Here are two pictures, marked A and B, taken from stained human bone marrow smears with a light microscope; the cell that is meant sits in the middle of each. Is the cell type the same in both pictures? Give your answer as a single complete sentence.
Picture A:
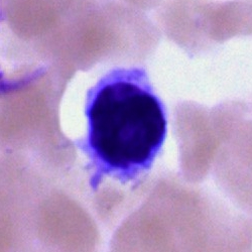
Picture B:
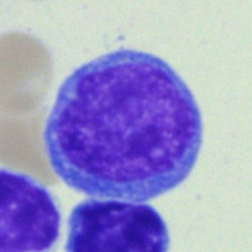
No, picture A shows a lymphocyte and picture B shows a blast.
